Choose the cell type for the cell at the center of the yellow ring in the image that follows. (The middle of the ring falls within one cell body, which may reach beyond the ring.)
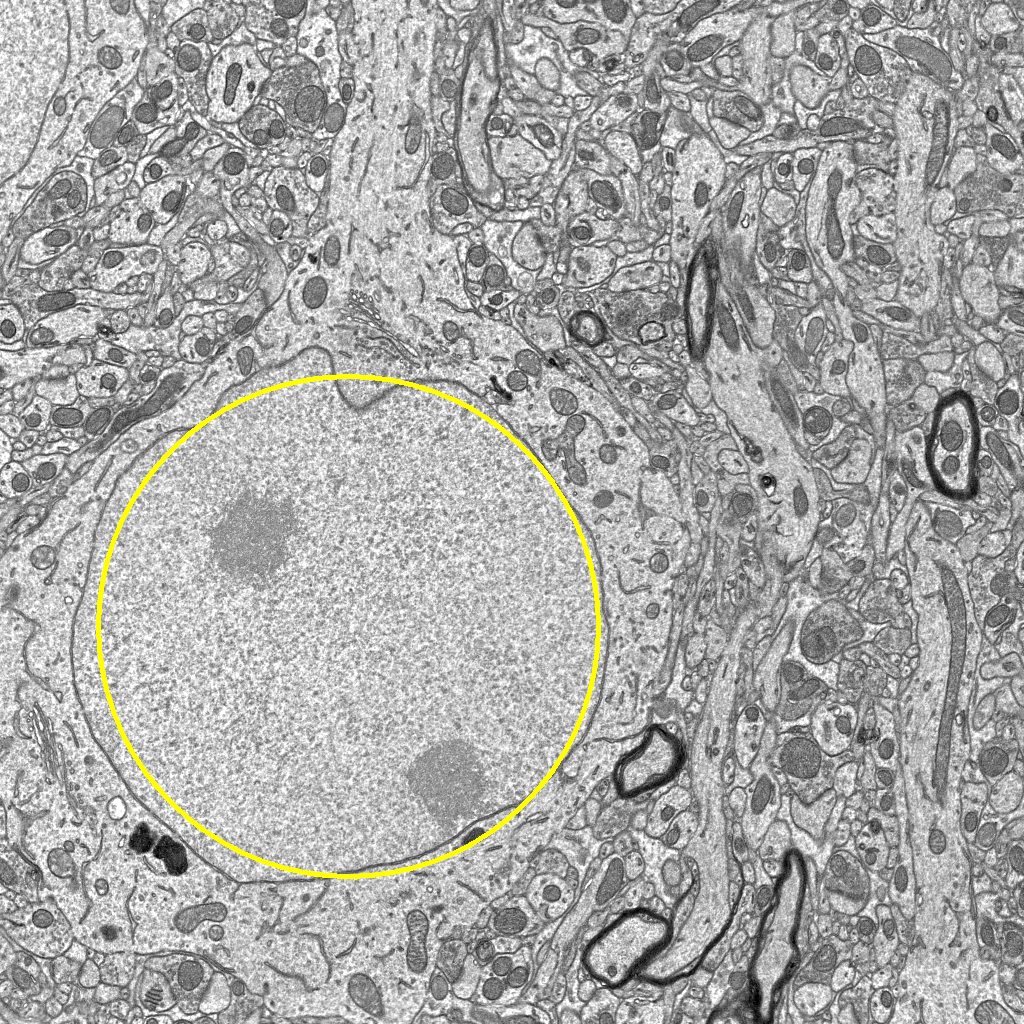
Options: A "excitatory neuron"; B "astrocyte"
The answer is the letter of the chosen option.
A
